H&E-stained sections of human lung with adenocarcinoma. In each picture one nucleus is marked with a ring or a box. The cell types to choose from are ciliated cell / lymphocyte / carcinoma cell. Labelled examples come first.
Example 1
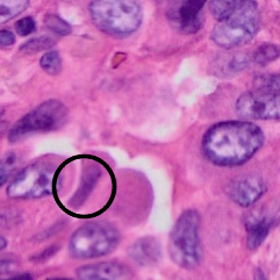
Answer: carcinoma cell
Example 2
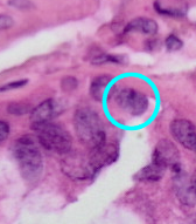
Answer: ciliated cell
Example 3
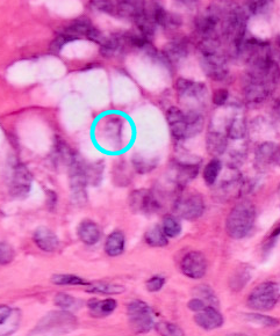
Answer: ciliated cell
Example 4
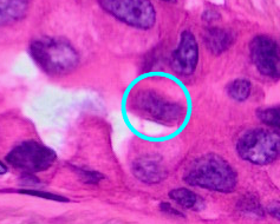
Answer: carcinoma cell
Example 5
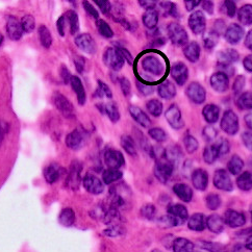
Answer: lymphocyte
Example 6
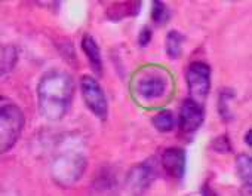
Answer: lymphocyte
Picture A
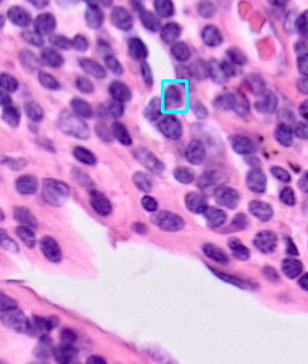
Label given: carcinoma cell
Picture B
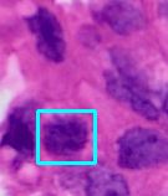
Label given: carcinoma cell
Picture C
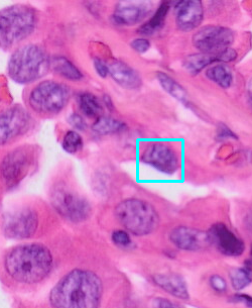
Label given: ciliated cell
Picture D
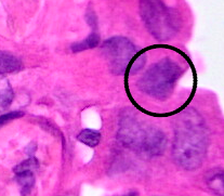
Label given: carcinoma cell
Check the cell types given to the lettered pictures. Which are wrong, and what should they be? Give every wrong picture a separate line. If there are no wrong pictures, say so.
Wrong: A (carcinoma cell); correct: lymphocyte
Wrong: C (ciliated cell); correct: carcinoma cell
